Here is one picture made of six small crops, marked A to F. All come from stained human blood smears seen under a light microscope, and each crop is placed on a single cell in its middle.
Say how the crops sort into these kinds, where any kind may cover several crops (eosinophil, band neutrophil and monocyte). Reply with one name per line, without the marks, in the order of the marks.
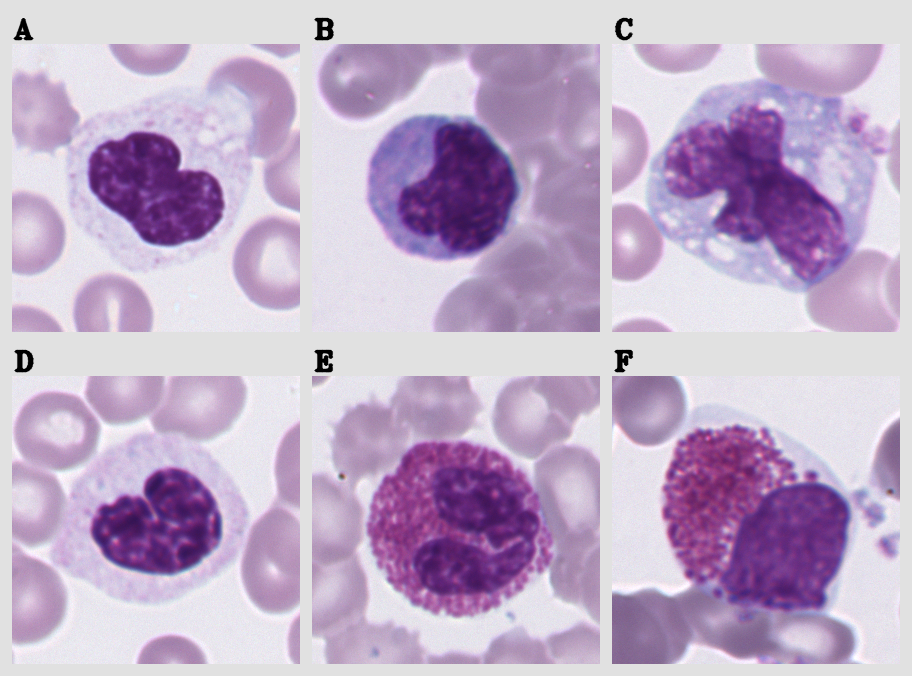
band neutrophil
monocyte
monocyte
band neutrophil
eosinophil
eosinophil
